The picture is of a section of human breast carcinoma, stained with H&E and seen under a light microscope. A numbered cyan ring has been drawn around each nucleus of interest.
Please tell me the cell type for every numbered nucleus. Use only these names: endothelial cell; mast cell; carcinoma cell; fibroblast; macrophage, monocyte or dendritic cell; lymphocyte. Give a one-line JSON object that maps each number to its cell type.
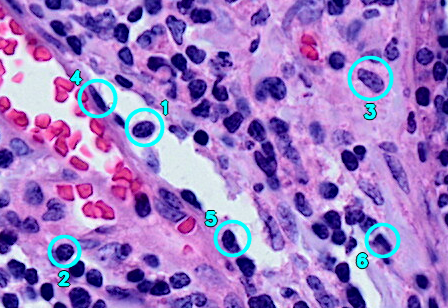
{"1": "lymphocyte", "2": "lymphocyte", "3": "mast cell", "4": "endothelial cell", "5": "lymphocyte", "6": "lymphocyte"}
